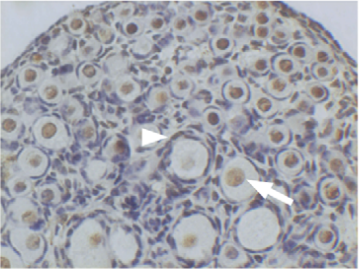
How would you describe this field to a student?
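This ovary section shows many oocytes of varying size scattered among small somatic cells. The oocytes are round, with a pale cytoplasm and a round nucleus stained brown; the larger ones have a wider halo of clear cytoplasm. Each oocyte is bordered by a thin rim of small flattened somatic cells. Toward the surface the oocytes are smaller and more crowded. Between them lie many small cells with compact blue or faintly brown nuclei, forming the stroma. Overall, brown staining marks the oocyte nuclei most clearly against the blue background.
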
